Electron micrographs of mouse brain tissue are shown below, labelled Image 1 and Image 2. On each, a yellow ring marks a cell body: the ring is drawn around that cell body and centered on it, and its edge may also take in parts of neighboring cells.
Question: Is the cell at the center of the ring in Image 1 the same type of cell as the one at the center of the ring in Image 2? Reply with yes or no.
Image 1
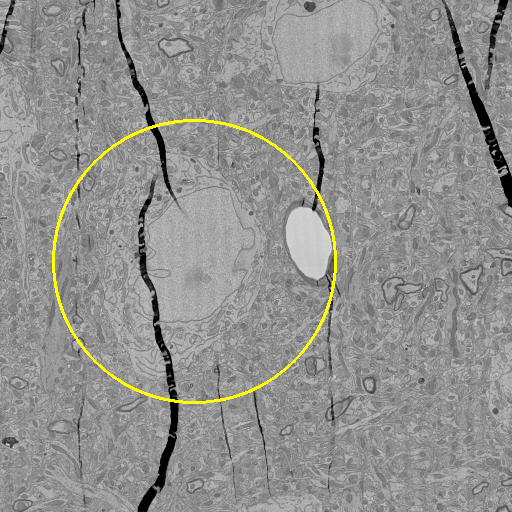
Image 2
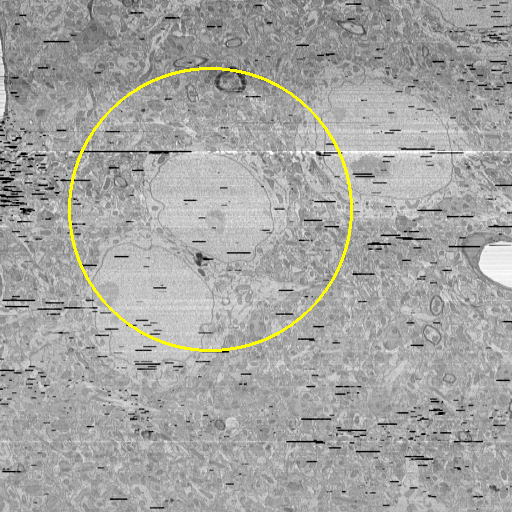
no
